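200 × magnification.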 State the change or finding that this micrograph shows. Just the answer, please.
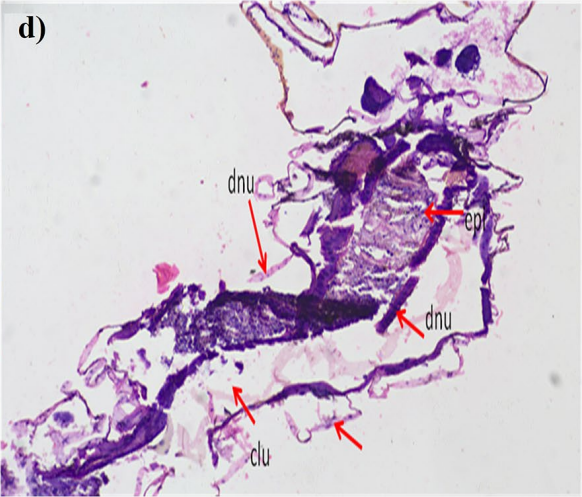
Severely damaged and vacuolated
